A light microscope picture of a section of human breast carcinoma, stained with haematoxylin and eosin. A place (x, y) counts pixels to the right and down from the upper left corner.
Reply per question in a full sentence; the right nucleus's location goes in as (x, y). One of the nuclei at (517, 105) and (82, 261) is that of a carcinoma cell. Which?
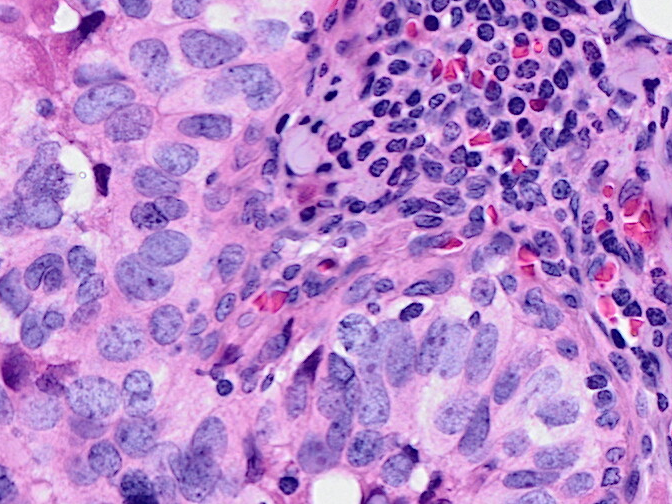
Between the two nuclei, the one sitting at (82, 261) belongs to a carcinoma cell.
